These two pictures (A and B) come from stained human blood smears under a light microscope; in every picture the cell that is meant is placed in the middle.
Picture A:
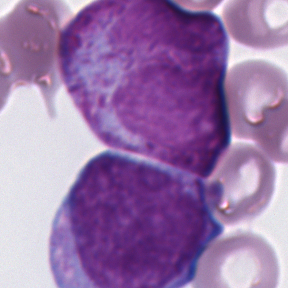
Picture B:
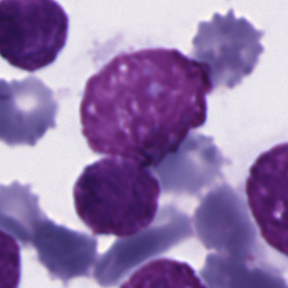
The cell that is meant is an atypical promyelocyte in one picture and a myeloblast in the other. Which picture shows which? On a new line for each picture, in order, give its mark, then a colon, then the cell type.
A: atypical promyelocyte
B: myeloblast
